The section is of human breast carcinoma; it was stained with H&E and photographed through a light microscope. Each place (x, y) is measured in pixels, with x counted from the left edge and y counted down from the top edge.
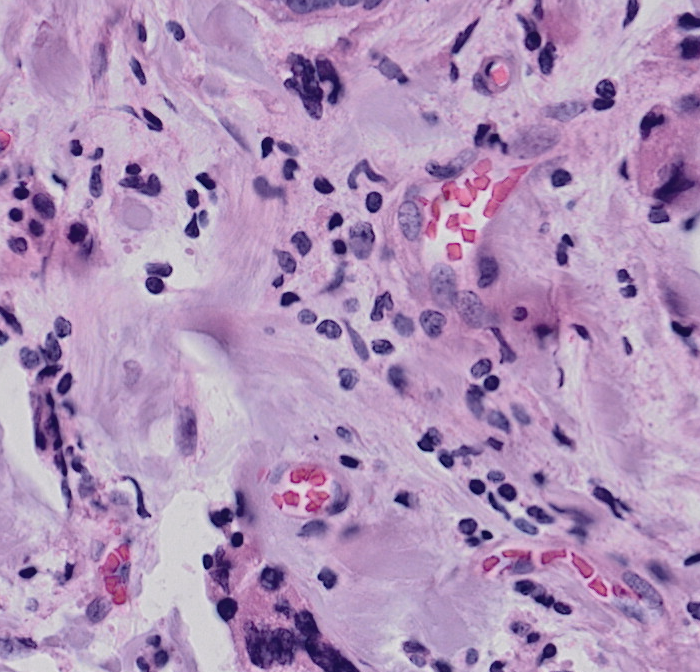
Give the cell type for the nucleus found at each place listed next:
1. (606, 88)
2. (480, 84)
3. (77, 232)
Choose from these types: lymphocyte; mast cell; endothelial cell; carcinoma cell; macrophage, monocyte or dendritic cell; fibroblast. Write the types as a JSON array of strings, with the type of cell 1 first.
["lymphocyte", "endothelial cell", "lymphocyte"]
